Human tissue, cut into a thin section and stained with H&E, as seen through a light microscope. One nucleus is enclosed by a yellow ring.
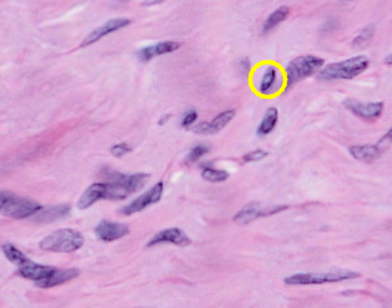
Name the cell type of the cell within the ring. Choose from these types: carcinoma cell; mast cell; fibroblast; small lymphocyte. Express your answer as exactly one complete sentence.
In this tissue sample, the cell within the ring is a fibroblast.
